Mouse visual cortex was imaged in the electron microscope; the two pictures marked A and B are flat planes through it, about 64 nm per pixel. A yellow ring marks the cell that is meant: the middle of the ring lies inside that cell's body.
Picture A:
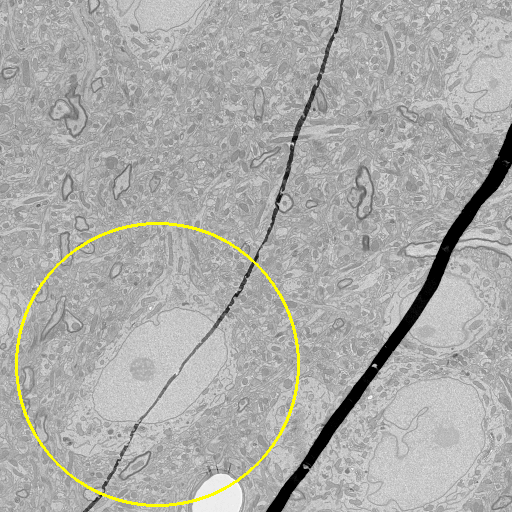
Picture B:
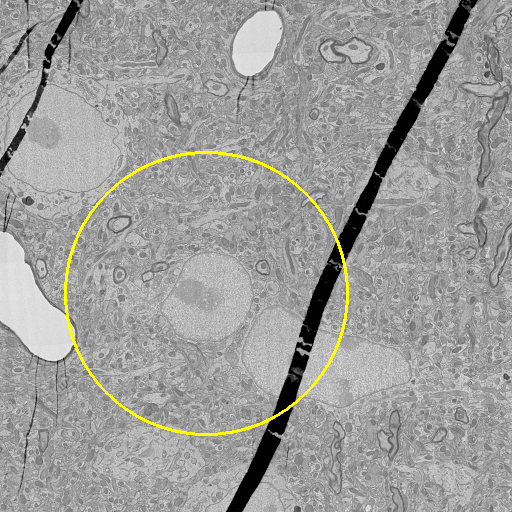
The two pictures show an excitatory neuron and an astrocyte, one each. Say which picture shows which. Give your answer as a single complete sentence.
Picture A shows an excitatory neuron and picture B shows an astrocyte.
